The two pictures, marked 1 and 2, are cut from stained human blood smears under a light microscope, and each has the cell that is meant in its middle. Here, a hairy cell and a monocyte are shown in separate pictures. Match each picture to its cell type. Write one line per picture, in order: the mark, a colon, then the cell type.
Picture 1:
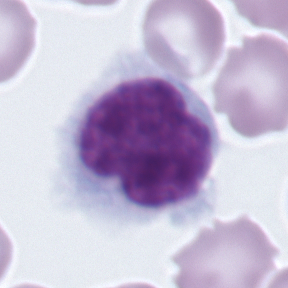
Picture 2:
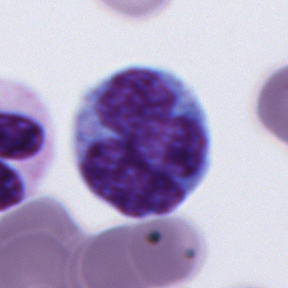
1: hairy cell
2: monocyte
